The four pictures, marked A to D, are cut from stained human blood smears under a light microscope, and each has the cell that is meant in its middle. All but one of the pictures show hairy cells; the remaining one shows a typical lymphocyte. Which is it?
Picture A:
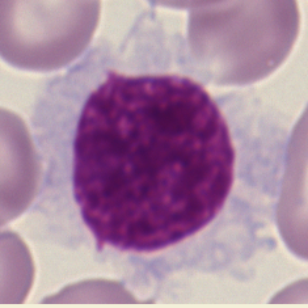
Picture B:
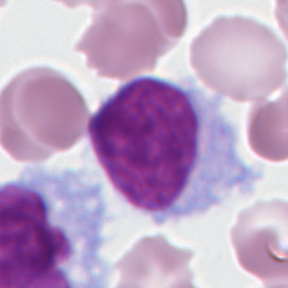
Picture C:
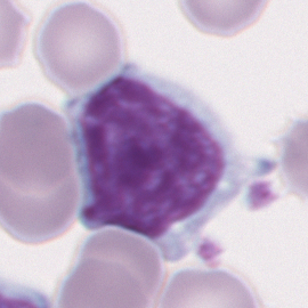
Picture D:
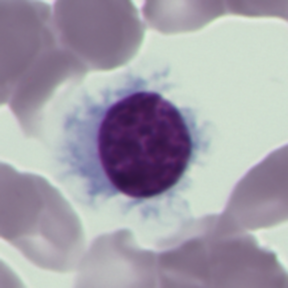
C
